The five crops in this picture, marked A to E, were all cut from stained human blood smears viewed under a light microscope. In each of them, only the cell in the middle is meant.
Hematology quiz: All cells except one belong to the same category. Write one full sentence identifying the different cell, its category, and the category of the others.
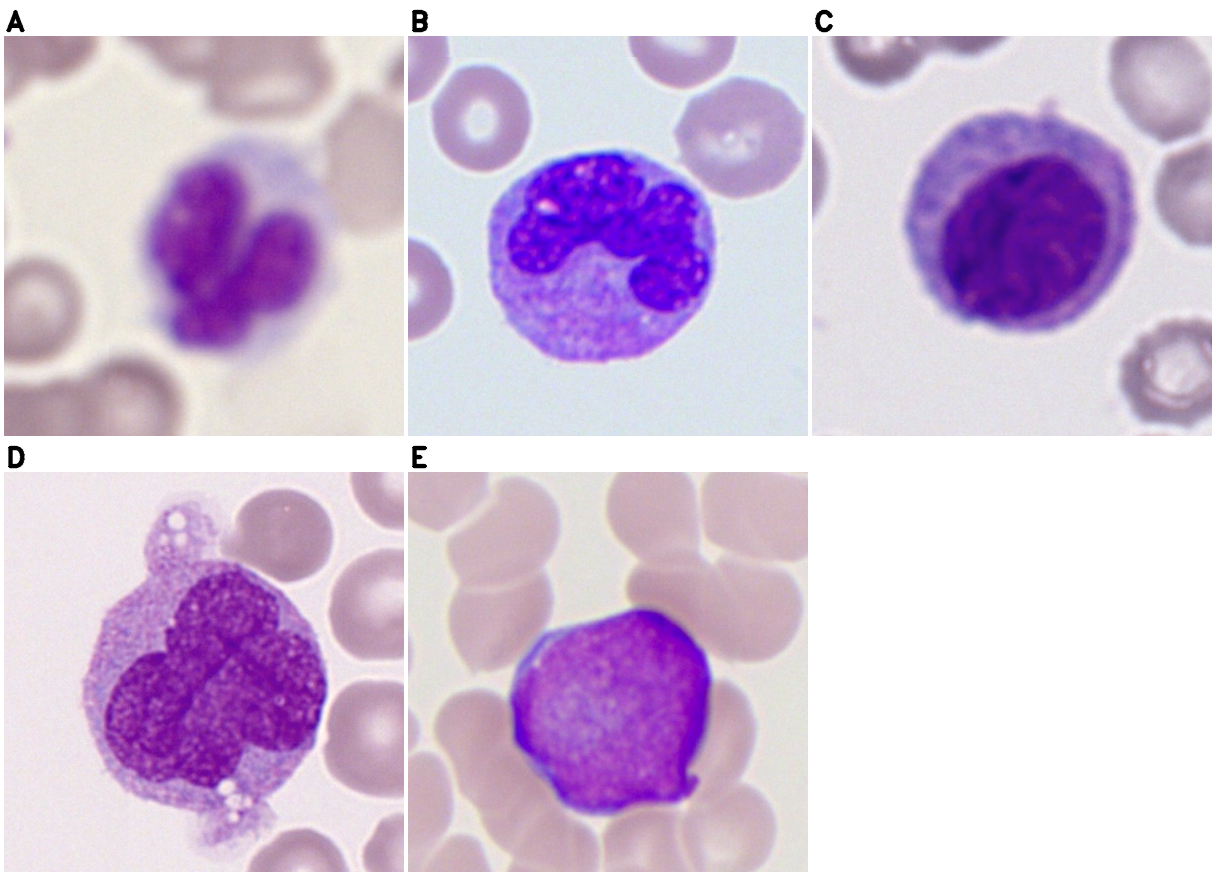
Just crop E is a myeloblast; all the other crops show monocytes.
